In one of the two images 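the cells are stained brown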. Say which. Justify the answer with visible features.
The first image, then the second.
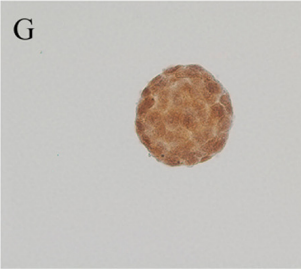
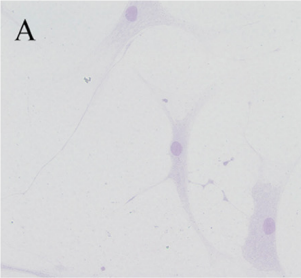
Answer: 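Second image: the spread cells are pale lilac and blue with no brown stain. First image: the round cluster of cells is stained brown throughout.
Answer: the first image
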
